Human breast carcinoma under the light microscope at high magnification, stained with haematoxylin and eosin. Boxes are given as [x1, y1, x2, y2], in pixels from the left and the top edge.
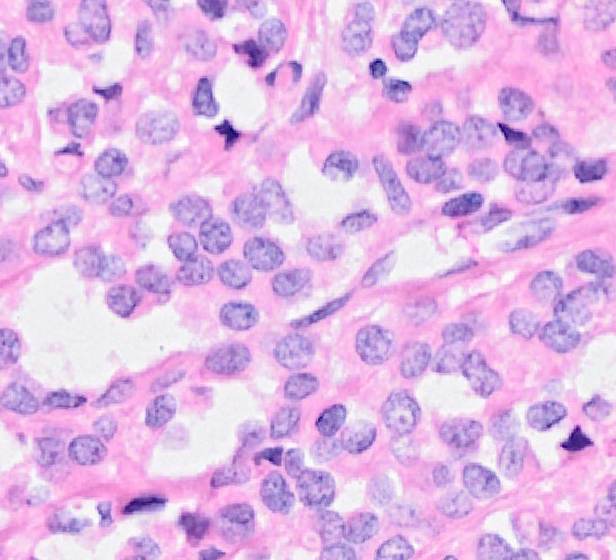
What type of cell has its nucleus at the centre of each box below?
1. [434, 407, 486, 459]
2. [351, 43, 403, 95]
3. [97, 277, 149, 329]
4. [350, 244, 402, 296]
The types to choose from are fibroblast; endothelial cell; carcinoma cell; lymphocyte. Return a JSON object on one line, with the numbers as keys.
{"1": "carcinoma cell", "2": "lymphocyte", "3": "carcinoma cell", "4": "endothelial cell"}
